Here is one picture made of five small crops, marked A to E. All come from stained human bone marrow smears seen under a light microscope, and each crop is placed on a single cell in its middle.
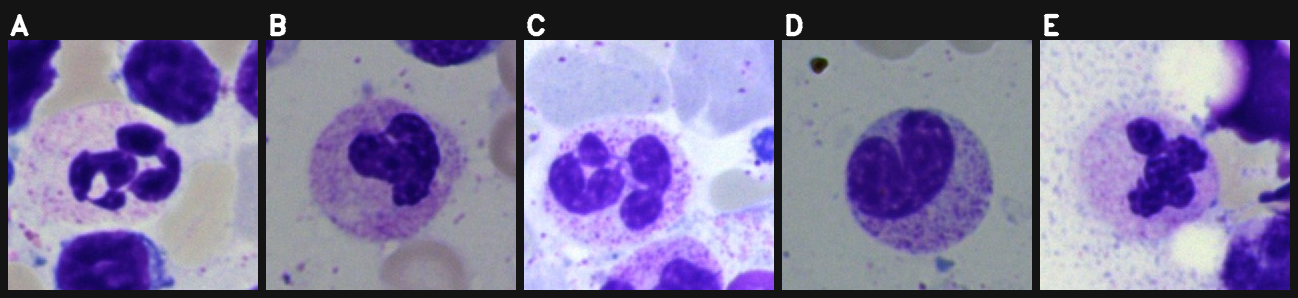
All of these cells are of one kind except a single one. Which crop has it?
D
